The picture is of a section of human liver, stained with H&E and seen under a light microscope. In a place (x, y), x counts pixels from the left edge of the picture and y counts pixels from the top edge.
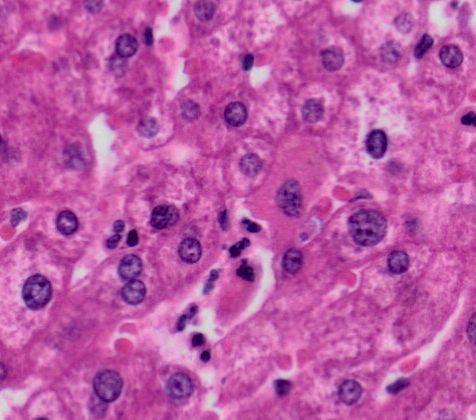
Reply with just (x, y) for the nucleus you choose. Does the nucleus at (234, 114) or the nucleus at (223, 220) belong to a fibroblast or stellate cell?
(223, 220)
